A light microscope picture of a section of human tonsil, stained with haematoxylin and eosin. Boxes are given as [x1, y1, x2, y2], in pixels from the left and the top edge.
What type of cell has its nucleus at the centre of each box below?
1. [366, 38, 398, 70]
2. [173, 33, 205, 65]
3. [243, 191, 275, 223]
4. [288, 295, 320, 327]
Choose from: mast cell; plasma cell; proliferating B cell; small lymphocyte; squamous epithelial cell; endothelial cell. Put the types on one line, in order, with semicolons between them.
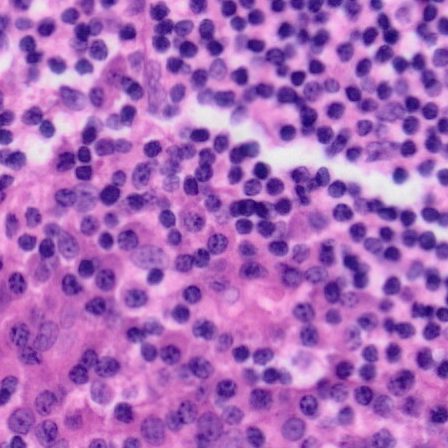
small lymphocyte; small lymphocyte; small lymphocyte; plasma cell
